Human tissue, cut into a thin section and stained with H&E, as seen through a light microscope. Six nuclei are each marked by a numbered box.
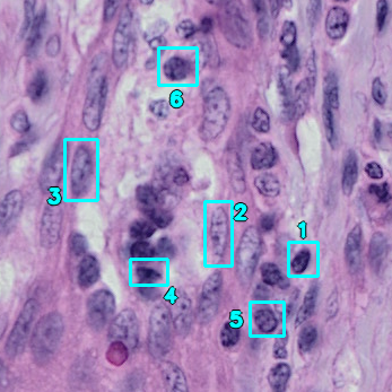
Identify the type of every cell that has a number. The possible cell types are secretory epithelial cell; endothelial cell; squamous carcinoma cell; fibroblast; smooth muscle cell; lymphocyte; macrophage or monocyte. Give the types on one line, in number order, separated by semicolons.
lymphocyte; endothelial cell; endothelial cell; lymphocyte; lymphocyte; lymphocyte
